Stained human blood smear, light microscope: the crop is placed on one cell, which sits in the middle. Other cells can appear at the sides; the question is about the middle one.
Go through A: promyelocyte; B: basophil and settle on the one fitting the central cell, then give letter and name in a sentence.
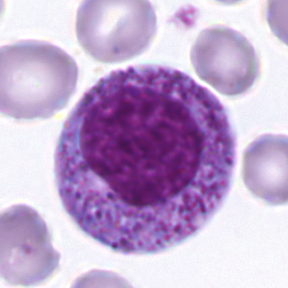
Option A, which names the central cell as a promyelocyte, is correct.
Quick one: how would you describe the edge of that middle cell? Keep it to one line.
Smooth edges only, with no spikes, blebs, or other projections.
